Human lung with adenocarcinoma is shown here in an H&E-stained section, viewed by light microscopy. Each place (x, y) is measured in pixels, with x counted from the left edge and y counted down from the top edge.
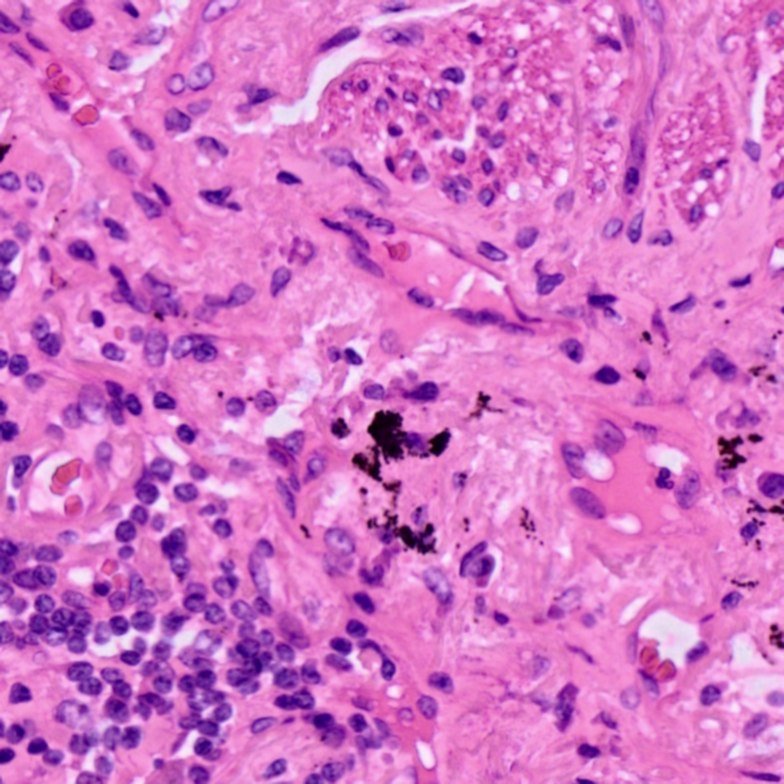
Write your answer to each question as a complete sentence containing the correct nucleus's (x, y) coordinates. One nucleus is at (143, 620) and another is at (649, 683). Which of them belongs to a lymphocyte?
Among the two, the nucleus at (143, 620) is the nucleus of a lymphocyte.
